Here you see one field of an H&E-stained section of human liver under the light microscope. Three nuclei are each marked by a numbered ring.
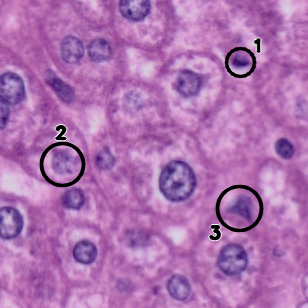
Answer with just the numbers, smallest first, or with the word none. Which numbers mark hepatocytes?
2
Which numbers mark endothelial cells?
3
